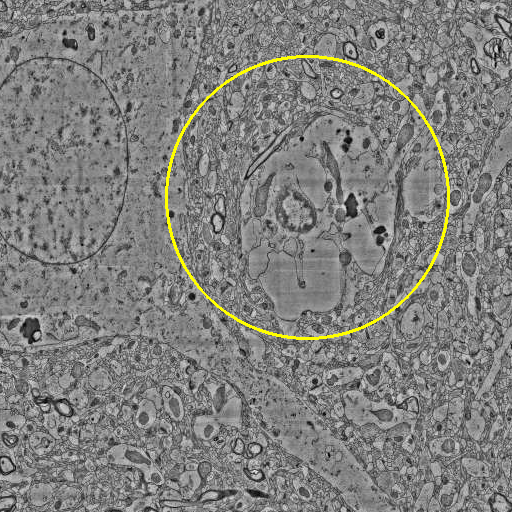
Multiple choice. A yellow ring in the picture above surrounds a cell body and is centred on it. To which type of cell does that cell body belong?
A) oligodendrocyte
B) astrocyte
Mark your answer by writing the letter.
B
